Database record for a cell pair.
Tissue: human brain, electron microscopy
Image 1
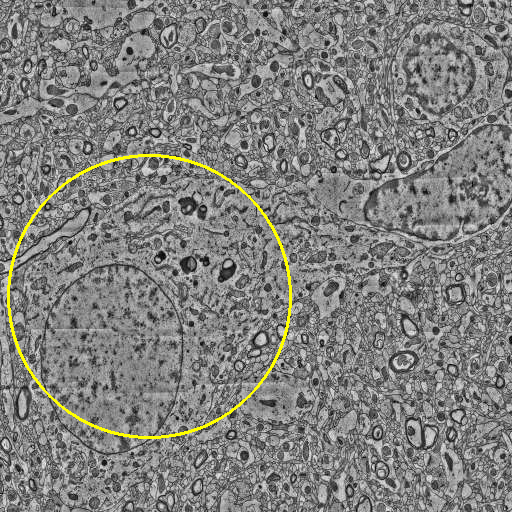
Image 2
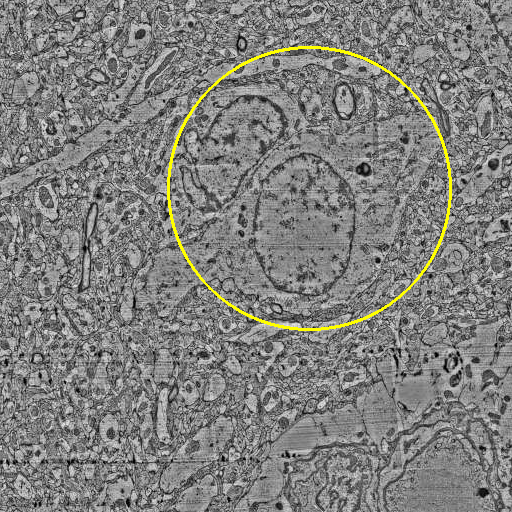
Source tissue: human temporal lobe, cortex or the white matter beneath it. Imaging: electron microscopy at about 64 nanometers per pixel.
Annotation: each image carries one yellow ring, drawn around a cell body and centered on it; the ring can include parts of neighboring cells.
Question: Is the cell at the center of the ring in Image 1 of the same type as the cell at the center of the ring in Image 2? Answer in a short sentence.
Yes, the cells are of the same type.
